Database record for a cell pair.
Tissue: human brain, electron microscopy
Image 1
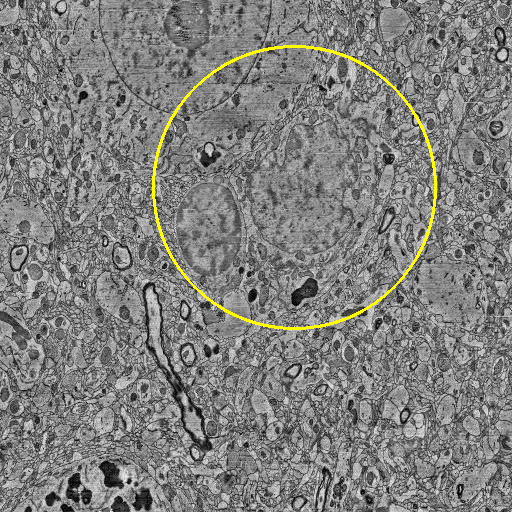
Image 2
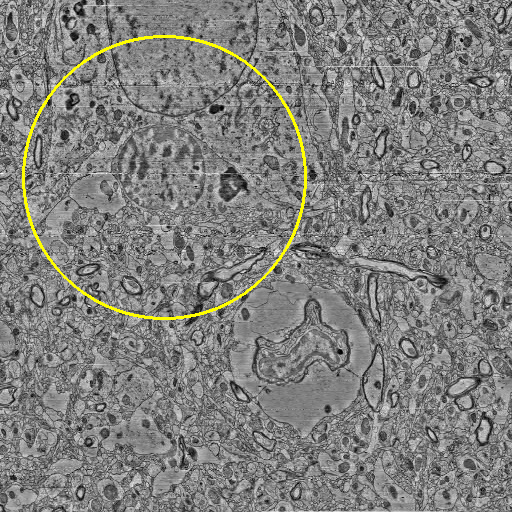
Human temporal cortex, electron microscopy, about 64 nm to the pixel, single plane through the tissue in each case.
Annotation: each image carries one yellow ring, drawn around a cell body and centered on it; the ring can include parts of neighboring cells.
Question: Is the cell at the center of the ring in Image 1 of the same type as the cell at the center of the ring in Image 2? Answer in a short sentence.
No, the cells are of two types.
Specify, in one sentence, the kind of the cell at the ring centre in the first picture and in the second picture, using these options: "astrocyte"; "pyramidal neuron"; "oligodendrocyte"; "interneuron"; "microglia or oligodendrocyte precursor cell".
So the first is an interneuron, the second an oligodendrocyte.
